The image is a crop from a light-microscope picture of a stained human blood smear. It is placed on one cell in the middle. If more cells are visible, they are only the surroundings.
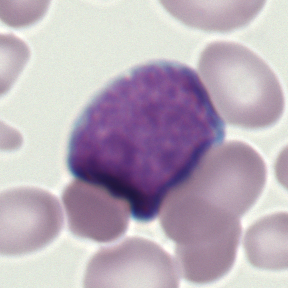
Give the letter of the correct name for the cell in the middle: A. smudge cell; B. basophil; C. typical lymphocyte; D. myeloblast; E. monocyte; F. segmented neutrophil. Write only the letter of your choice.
D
